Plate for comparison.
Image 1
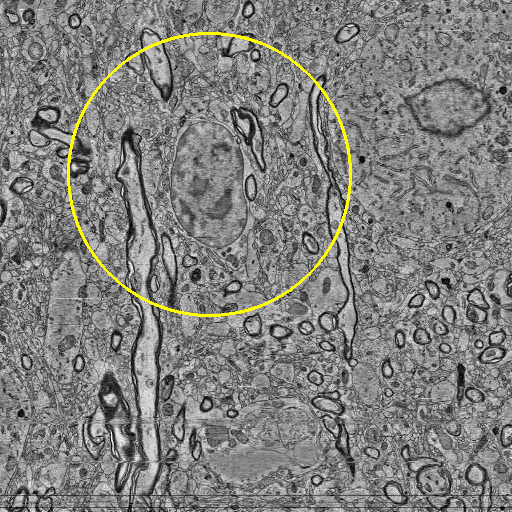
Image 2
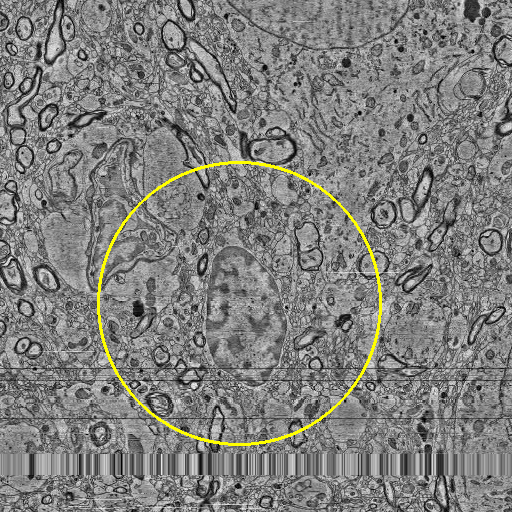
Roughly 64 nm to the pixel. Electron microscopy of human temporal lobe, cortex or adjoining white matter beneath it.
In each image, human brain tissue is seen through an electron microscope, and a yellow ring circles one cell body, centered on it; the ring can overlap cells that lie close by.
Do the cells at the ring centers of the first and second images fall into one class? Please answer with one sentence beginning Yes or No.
Yes, the first and second images show a single class of cell at the ring centers.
